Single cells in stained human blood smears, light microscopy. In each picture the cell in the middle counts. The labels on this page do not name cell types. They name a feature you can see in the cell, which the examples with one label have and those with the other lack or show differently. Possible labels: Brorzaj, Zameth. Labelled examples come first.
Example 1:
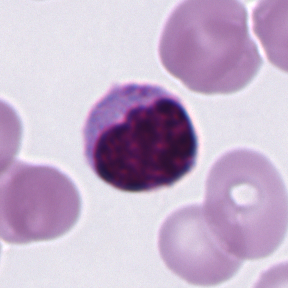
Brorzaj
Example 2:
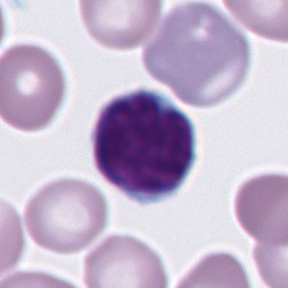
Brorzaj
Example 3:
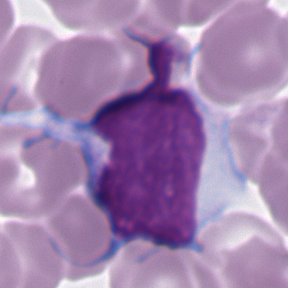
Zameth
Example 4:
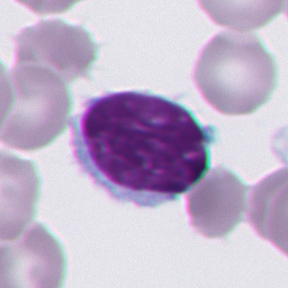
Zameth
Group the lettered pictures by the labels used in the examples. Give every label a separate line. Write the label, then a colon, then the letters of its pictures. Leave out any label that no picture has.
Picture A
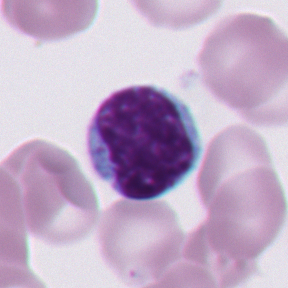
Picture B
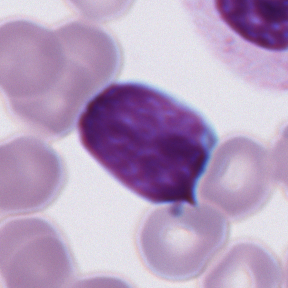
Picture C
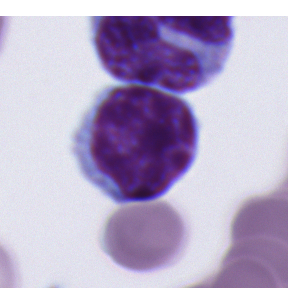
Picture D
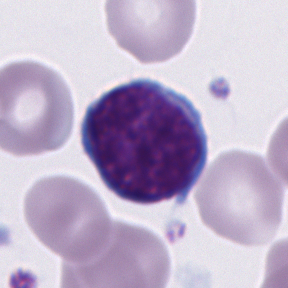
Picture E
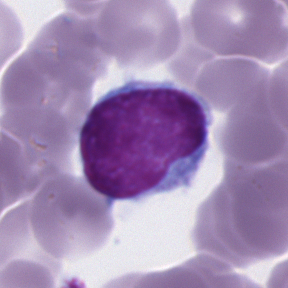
Brorzaj: A, D
Zameth: B, C, E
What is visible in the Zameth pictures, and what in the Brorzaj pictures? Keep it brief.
In Zameth: ragged outline or projections. In Brorzaj: smooth outline.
